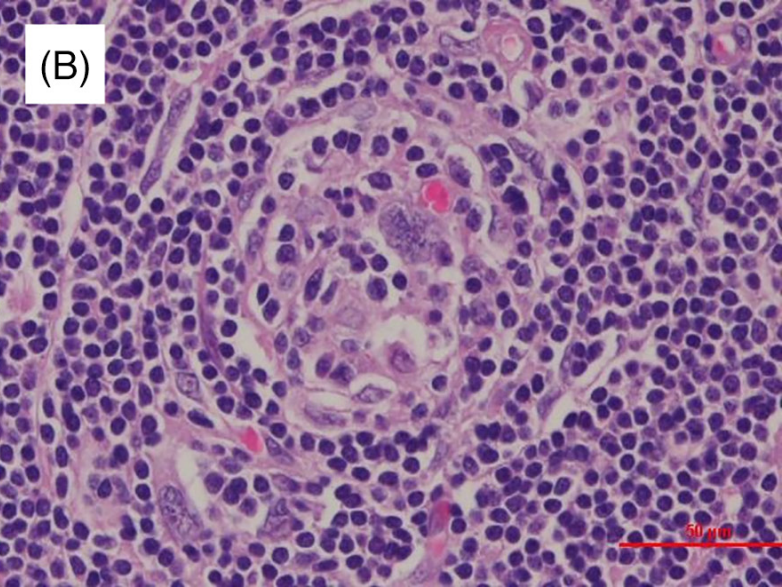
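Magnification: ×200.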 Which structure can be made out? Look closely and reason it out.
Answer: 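Small round cells with dark nuclei are lined up in concentric rings around a central core. The central core holds larger cells with paler nuclei and pink cytoplasm.
Answer: onion‐skin structures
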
